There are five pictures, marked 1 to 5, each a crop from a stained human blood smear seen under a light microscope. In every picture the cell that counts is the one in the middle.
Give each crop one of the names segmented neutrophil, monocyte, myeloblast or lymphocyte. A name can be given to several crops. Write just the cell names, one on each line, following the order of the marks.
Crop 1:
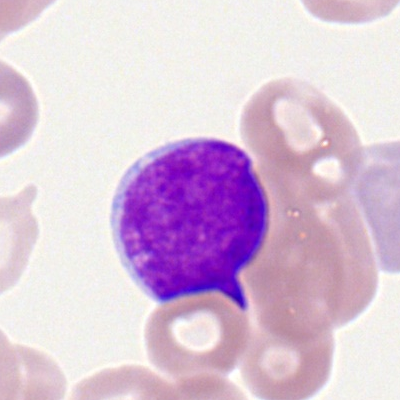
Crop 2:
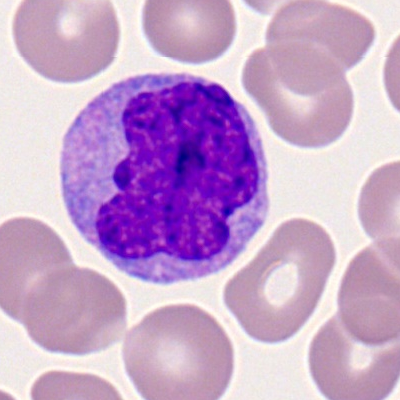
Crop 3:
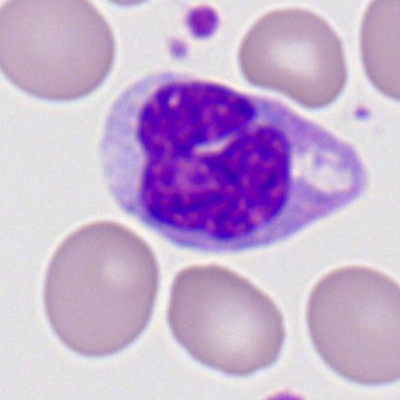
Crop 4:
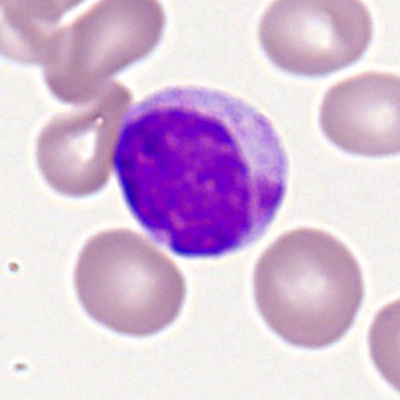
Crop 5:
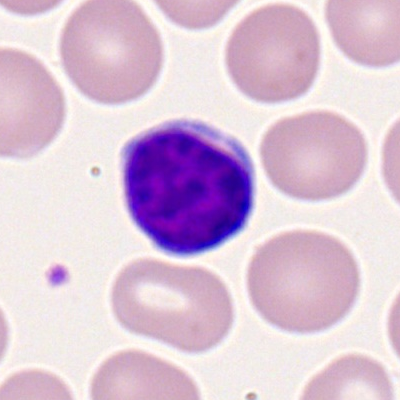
myeloblast
monocyte
monocyte
lymphocyte
lymphocyte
